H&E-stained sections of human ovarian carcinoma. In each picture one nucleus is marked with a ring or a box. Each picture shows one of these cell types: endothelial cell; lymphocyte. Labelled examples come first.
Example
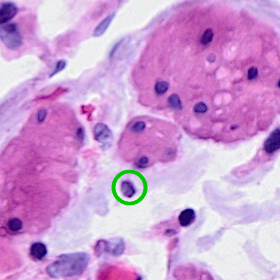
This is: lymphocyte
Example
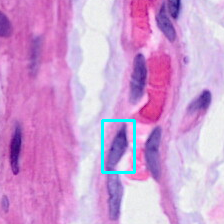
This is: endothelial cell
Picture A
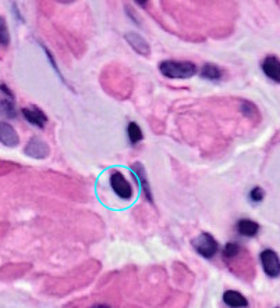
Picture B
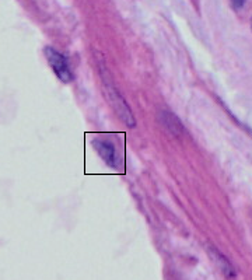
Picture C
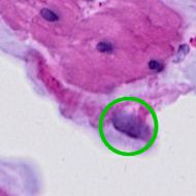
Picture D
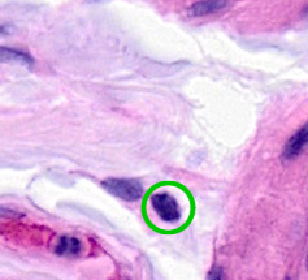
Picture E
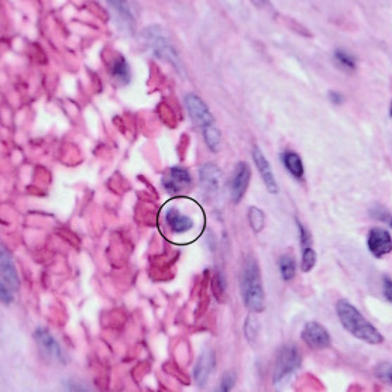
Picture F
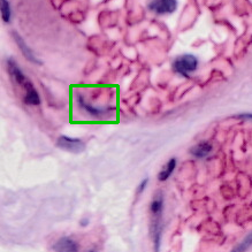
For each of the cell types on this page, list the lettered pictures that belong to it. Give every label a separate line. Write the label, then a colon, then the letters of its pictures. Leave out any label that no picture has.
endothelial cell: B, C, F
lymphocyte: A, D, E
